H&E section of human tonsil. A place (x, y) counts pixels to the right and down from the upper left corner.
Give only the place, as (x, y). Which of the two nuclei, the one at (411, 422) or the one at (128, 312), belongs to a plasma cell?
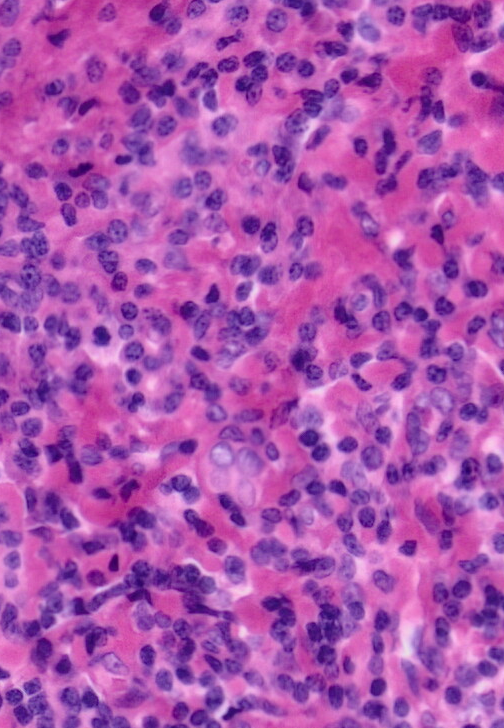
(128, 312)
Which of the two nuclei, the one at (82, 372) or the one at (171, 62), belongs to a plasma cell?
(82, 372)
